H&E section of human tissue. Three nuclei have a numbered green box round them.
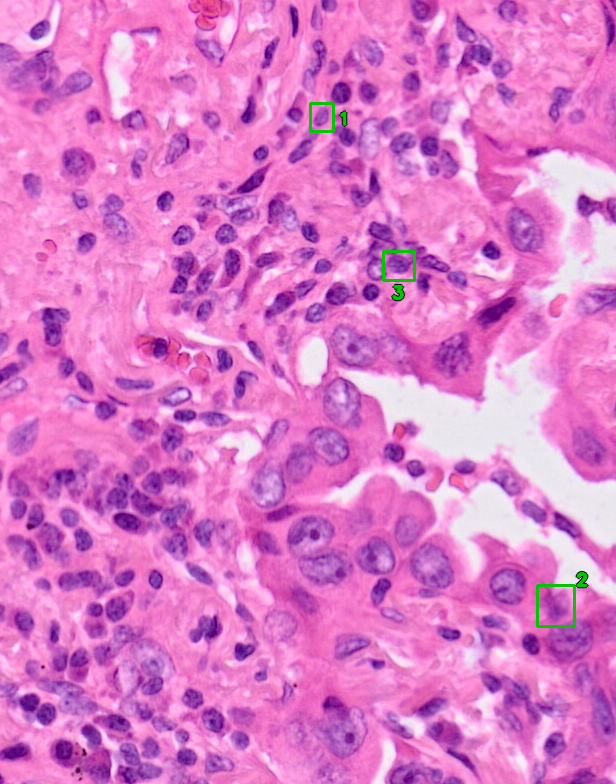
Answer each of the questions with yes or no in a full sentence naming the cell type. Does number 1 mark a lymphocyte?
Yes, so the cell at label 1 is a lymphocyte.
